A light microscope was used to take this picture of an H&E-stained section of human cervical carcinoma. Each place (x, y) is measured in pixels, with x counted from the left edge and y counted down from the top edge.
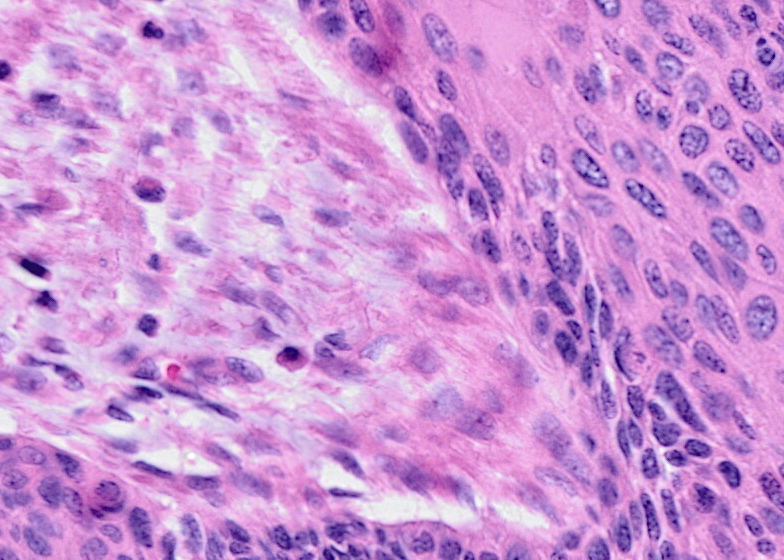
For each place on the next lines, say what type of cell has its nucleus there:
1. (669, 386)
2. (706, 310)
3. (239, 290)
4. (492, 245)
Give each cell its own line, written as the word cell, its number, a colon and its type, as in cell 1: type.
cell 1: squamous carcinoma cell
cell 2: squamous carcinoma cell
cell 3: fibroblast
cell 4: squamous carcinoma cell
